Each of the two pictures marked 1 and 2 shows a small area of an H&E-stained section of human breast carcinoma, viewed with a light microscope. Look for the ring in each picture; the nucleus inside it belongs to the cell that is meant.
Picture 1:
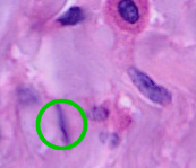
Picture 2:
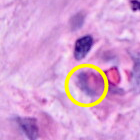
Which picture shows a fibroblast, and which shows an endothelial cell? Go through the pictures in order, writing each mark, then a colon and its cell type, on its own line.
1: fibroblast
2: endothelial cell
